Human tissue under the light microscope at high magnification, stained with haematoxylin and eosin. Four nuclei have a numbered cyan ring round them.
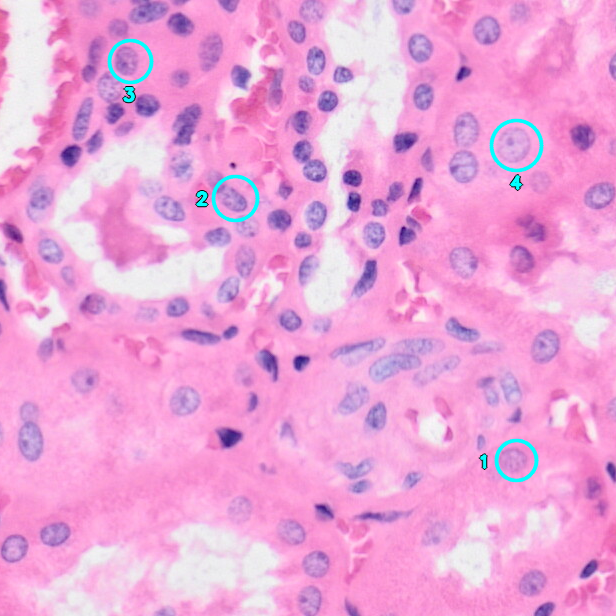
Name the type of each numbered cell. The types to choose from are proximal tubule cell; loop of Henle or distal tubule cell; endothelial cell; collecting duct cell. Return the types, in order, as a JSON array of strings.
["proximal tubule cell", "collecting duct cell", "collecting duct cell", "proximal tubule cell"]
